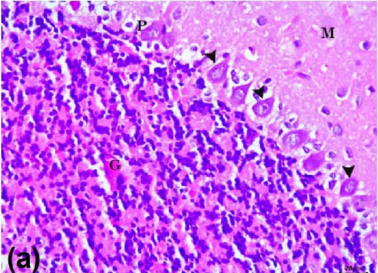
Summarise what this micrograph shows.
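This is the cerebellar cortex, with a pale pink molecular layer above, a row of Purkinje neurons in the middle and a densely packed granule cell layer below. The Purkinje neurons are large, flask-shaped cells with pink cytoplasm and big, pale, vesicular nuclei, lined up in a single row at the border. The granule layer is crowded with small, round, dark purple nuclei, while the molecular layer has only scattered small nuclei in a pale fibrillar background.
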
